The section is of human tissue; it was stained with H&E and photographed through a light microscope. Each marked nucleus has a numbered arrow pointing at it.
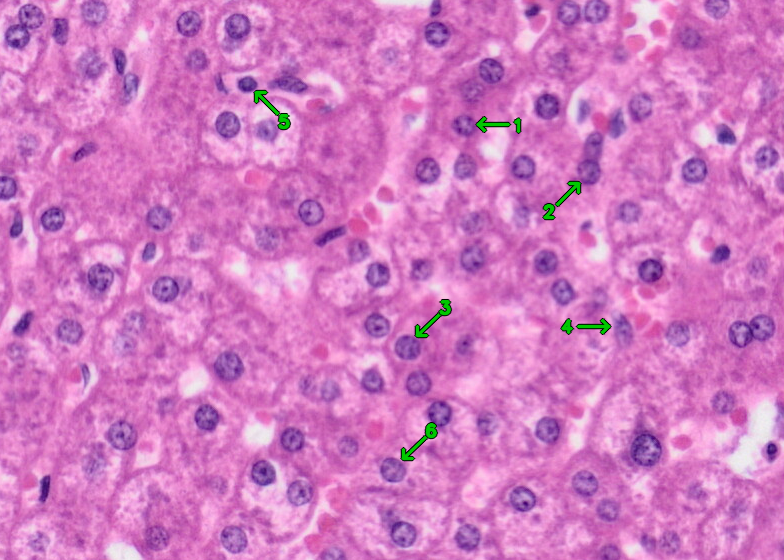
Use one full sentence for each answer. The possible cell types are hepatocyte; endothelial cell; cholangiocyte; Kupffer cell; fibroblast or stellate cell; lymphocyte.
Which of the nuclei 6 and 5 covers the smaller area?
Nucleus 5 covers less area, with nucleus 6 about 2 times as large.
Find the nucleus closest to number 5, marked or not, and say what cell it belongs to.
It is an endothelial cell whose nucleus is nearest to number 5.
